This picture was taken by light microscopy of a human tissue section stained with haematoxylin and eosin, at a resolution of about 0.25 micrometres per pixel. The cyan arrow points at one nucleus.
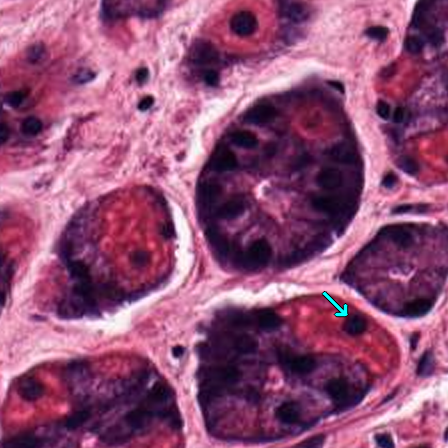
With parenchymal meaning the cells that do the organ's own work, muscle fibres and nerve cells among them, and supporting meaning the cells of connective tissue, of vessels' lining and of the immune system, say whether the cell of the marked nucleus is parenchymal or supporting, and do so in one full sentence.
The marked nucleus belongs to a parietal cell, a parenchymal cell.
